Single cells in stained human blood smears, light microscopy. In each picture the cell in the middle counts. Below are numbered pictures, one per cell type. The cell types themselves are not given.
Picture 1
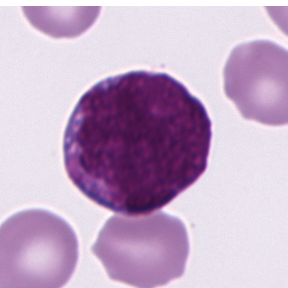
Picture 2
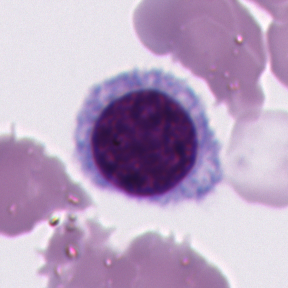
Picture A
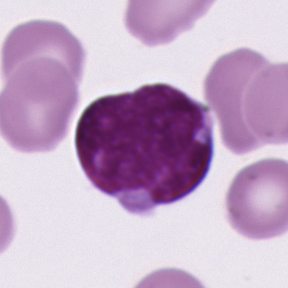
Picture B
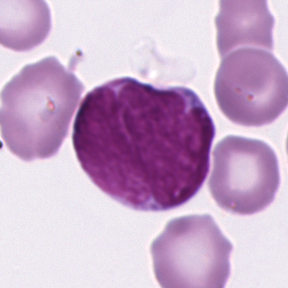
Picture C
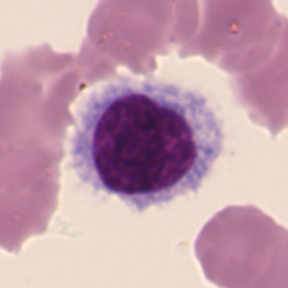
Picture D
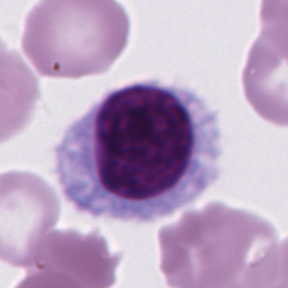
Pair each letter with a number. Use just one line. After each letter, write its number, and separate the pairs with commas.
A 1, B 1, C 2, D 2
